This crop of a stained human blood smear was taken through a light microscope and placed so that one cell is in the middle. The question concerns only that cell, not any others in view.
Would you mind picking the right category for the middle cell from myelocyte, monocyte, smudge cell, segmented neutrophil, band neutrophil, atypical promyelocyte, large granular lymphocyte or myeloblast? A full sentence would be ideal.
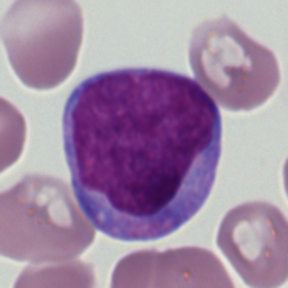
The cell of interest, located centrally, is an atypical promyelocyte.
